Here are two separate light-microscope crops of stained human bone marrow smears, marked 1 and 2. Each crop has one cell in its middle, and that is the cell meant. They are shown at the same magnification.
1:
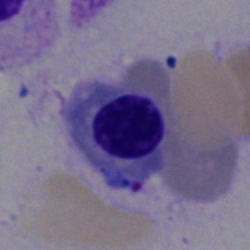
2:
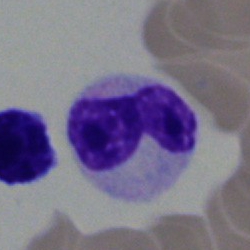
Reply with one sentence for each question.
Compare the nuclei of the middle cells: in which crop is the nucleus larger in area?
Crop 2 shows the larger nucleus; it covers about 2 times the area of the nucleus in crop 1.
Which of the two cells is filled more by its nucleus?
Of the two, the nucleus in crop 2 makes up the greater part of its cell.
